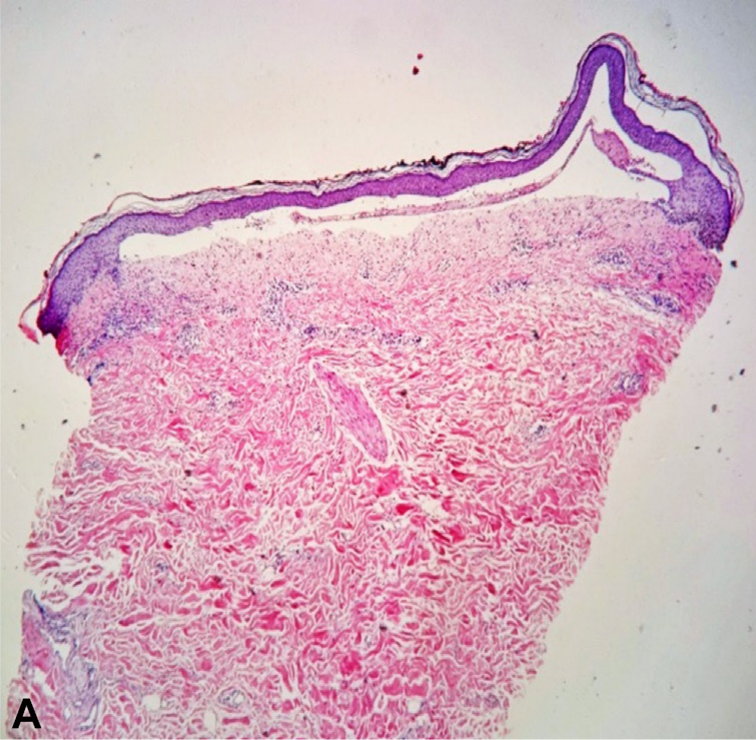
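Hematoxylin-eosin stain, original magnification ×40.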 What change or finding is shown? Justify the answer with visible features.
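The dermal surface beneath the cleft has no epidermis on it. So: subepidermal separation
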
